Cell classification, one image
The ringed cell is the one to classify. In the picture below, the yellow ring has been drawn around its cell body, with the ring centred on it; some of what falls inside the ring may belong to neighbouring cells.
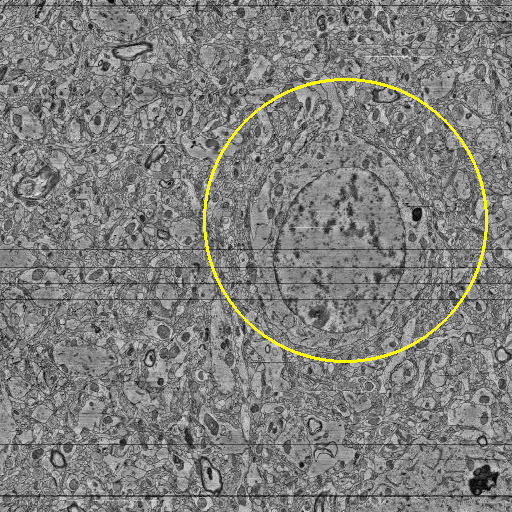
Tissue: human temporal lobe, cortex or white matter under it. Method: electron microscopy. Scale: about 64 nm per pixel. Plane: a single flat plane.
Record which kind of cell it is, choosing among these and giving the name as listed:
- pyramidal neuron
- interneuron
pyramidal neuron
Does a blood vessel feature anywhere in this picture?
No, there is none.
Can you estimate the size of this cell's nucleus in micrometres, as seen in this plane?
In this plane the nucleus measures roughly 11 by 8 micrometers.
